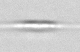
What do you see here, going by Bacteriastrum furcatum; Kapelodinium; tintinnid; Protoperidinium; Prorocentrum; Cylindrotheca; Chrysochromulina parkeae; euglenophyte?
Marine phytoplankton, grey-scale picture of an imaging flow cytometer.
I see Cylindrotheca.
